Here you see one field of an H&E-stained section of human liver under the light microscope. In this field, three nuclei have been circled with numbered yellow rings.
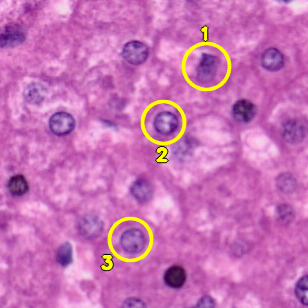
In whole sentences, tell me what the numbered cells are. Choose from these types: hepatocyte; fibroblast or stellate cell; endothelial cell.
Cell 1 is an endothelial cell, cell 2 is a hepatocyte and cell 3 is a hepatocyte.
